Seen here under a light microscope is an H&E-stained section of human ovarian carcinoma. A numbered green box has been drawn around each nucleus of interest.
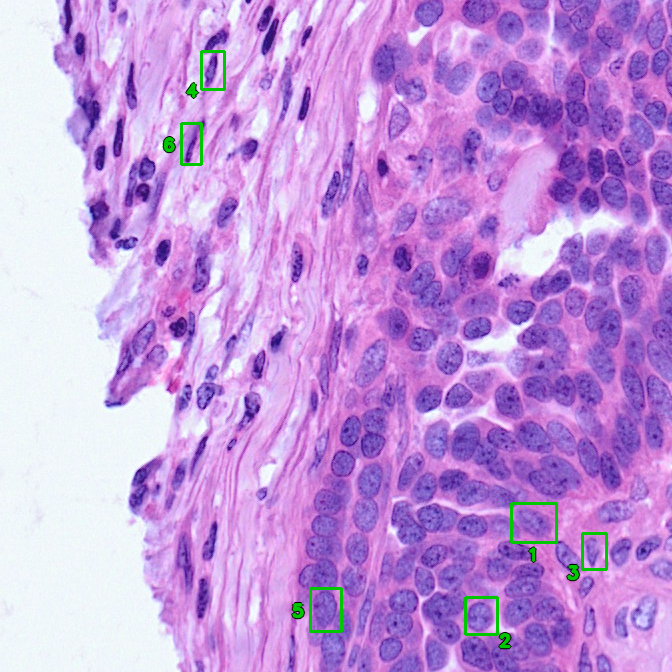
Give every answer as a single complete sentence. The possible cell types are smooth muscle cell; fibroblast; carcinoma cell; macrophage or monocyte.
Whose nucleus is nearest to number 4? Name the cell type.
The nearest nucleus to number 4 belongs to a macrophage or monocyte.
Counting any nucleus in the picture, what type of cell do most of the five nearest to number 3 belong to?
Of the five nuclei nearest to number 3, most belong to fibroblasts.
